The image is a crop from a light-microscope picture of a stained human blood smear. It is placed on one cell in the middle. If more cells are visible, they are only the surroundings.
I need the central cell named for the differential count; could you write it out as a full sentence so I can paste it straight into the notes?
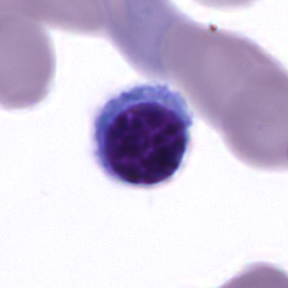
The center cell of this crop is a plasma cell.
